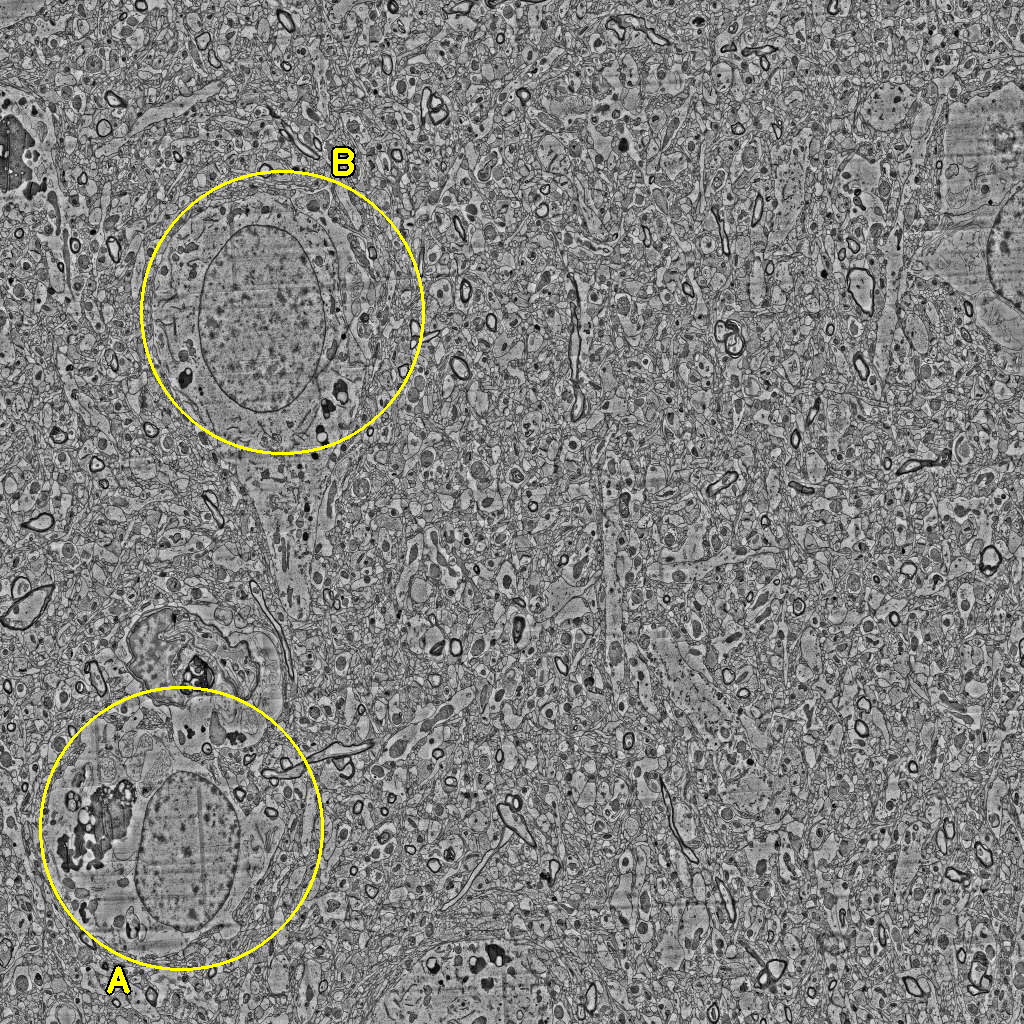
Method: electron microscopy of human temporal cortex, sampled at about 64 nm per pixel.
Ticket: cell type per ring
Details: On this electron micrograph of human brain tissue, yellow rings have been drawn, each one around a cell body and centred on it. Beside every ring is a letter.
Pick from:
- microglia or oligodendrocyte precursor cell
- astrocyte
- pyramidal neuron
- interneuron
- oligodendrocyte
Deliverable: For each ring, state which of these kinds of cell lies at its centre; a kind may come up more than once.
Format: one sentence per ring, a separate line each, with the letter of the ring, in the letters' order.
The cell body ringed as A belongs to an astrocyte.
The cell body ringed as B belongs to a pyramidal neuron.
